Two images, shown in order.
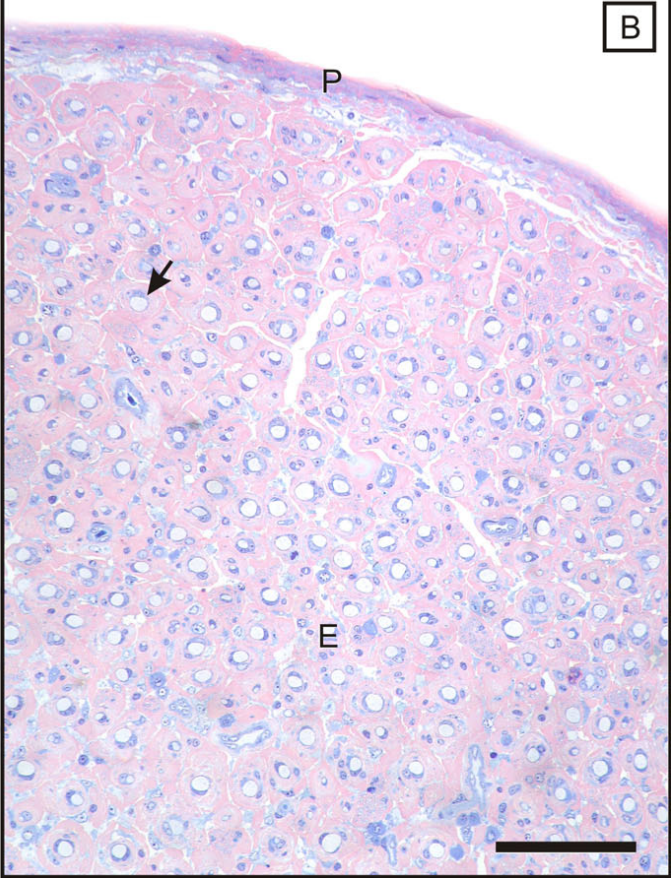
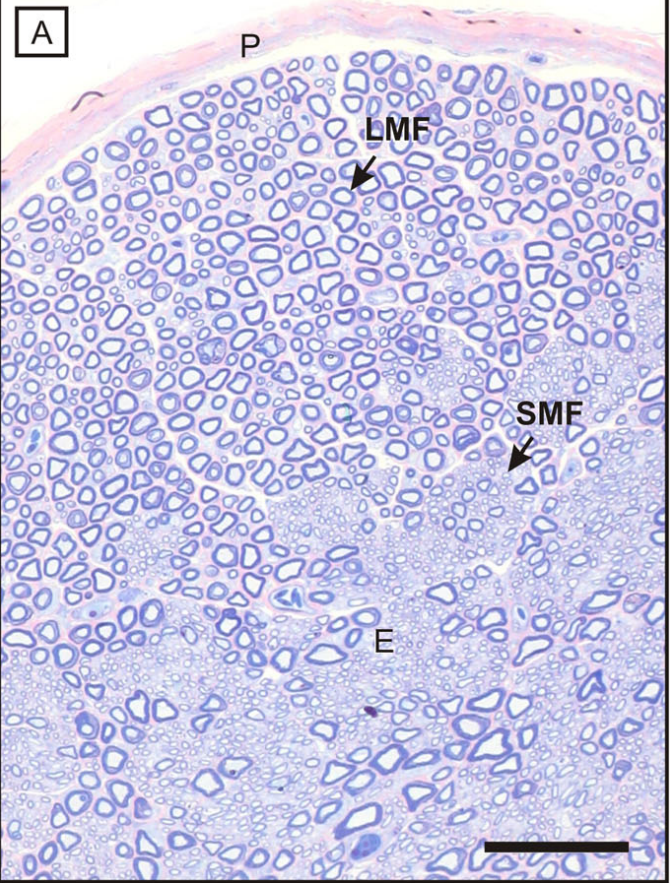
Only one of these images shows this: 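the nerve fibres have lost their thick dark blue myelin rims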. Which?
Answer: The first image.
